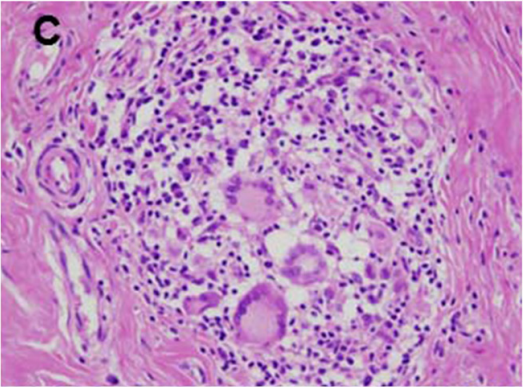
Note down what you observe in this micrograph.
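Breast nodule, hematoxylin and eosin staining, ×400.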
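Several large cells stand out with abundant pink cytoplasm and many nuclei, some gathered at the cell edge, some clustered. Around them lies a dense crowd of small cells with round, dark purple nuclei and little cytoplasm. A small blood vessel with a thick wall lies at the left margin of the aggregate.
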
